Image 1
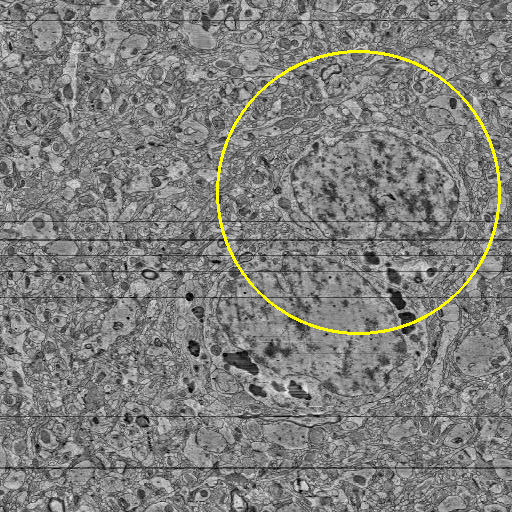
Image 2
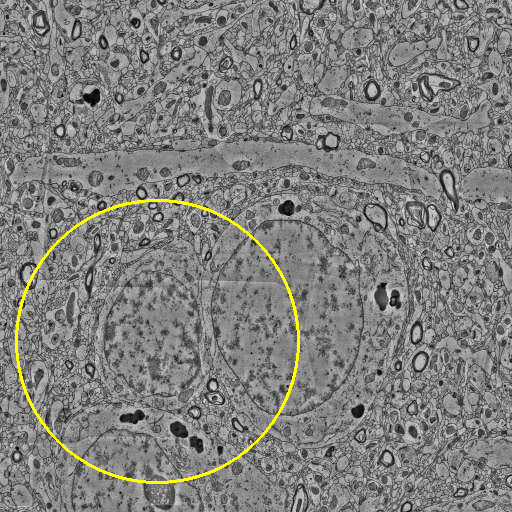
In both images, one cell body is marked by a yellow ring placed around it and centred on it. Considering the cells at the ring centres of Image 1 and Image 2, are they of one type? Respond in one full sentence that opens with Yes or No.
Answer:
Yes, a single type applies to the ring-centred cells of both Image 1 and Image 2.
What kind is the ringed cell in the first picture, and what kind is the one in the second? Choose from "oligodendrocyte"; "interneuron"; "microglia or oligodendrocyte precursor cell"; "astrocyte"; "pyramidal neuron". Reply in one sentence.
In each of the two pictures, the ringed cell is an interneuron.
